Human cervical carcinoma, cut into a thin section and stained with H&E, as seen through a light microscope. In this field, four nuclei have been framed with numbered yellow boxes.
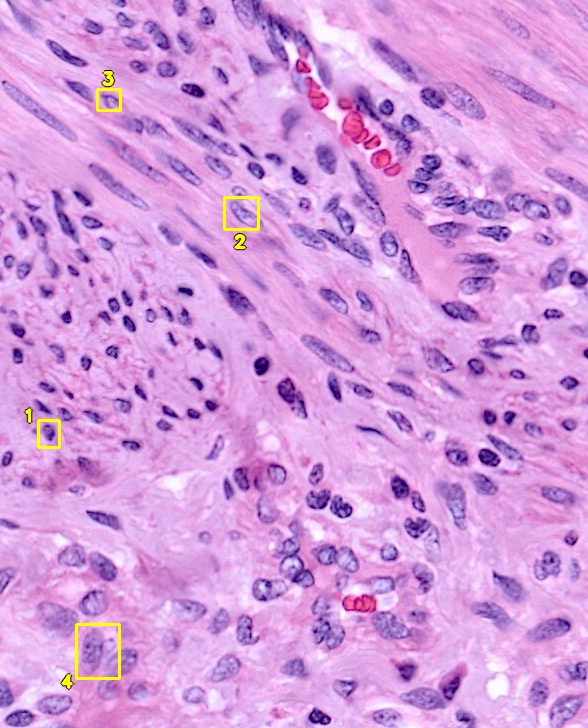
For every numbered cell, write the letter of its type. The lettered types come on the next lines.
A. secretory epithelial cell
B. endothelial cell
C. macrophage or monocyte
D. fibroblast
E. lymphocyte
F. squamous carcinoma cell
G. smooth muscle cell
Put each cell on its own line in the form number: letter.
1: G
2: G
3: G
4: B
